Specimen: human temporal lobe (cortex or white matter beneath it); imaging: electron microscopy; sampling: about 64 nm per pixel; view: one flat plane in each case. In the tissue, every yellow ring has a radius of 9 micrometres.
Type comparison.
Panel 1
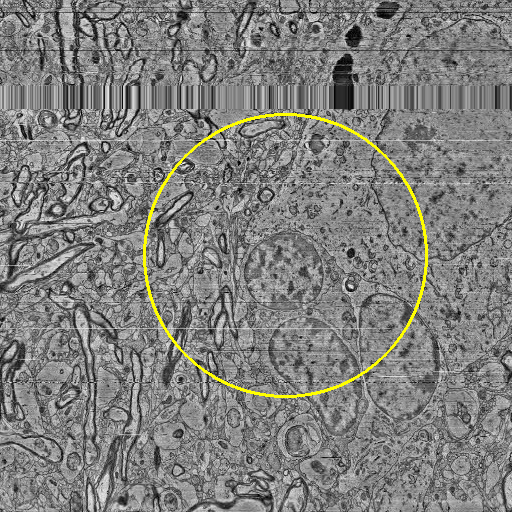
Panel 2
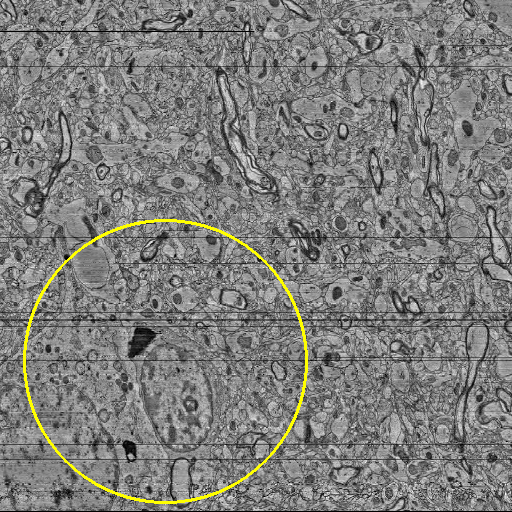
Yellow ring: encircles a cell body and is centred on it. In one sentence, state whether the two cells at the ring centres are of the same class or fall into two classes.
In these panels, the two cells at the ring centres are of the same class.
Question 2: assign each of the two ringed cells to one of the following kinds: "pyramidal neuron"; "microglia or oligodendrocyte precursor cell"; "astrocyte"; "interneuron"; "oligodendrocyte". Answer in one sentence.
In each picture the ringed cell is an oligodendrocyte.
